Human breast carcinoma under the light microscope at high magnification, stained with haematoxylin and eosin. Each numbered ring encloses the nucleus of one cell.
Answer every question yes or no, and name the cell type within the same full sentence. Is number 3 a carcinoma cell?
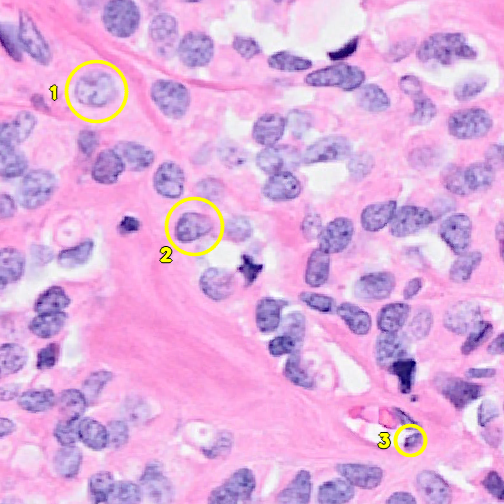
No, cell 3 counts as an endothelial cell rather than as a carcinoma cell.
